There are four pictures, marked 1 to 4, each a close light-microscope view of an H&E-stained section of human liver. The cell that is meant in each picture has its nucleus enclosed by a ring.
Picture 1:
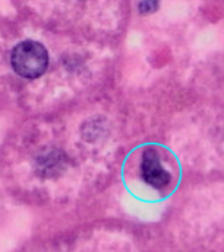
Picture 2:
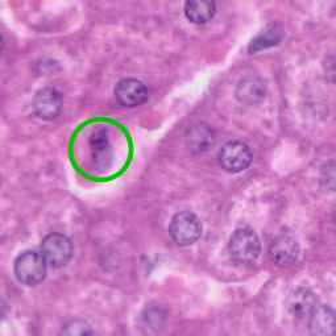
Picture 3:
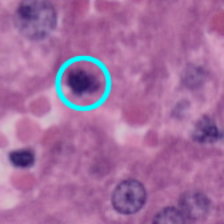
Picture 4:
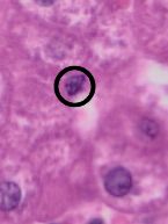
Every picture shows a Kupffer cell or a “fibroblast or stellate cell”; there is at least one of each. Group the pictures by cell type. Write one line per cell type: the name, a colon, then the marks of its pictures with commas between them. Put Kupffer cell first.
Kupffer cell: 1, 2
fibroblast or stellate cell: 3, 4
